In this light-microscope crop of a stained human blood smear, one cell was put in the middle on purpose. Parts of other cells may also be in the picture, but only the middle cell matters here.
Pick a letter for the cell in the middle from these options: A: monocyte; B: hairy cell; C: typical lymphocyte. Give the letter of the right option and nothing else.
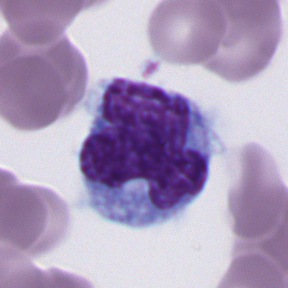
A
